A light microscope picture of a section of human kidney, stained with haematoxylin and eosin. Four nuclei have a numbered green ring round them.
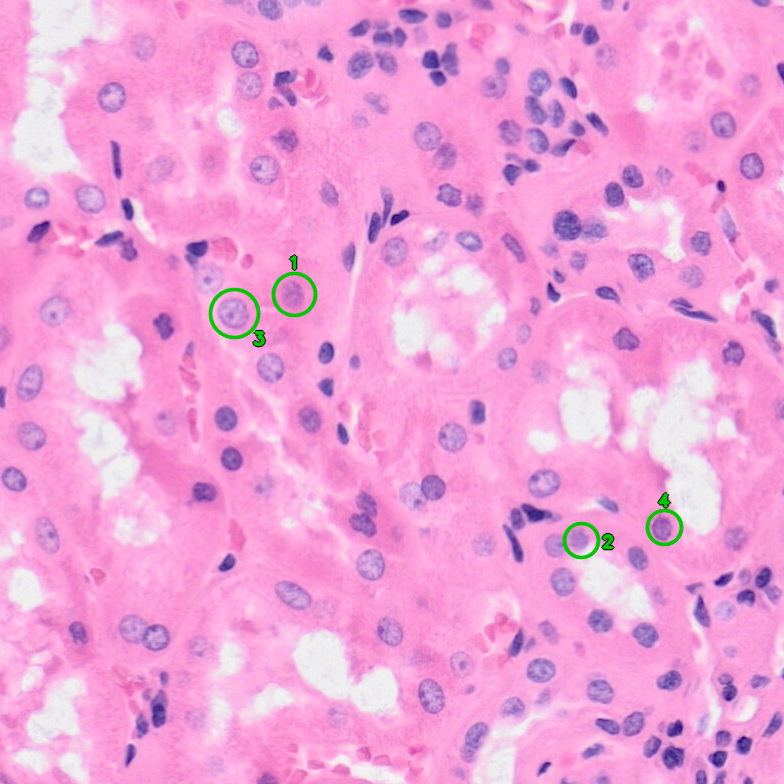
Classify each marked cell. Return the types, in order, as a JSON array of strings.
["proximal tubule cell", "loop of Henle or distal tubule cell", "proximal tubule cell", "proximal tubule cell"]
